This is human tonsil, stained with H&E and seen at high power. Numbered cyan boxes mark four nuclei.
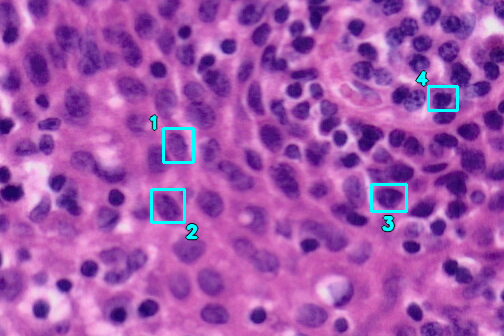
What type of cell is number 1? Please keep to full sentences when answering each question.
The cell numbered 1 has been identified as a squamous epithelial cell.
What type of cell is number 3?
Here the cell numbered 3 is a squamous epithelial cell.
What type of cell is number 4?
The cell bearing label 4 corresponds to a plasma cell.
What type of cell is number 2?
Identified by the number 2, the cell is a squamous epithelial cell.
